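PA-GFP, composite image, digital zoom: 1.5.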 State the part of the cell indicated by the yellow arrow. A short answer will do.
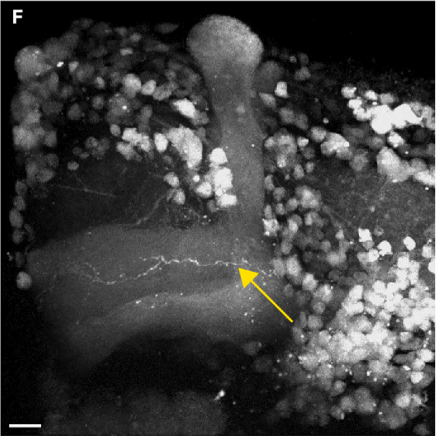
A: Axons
